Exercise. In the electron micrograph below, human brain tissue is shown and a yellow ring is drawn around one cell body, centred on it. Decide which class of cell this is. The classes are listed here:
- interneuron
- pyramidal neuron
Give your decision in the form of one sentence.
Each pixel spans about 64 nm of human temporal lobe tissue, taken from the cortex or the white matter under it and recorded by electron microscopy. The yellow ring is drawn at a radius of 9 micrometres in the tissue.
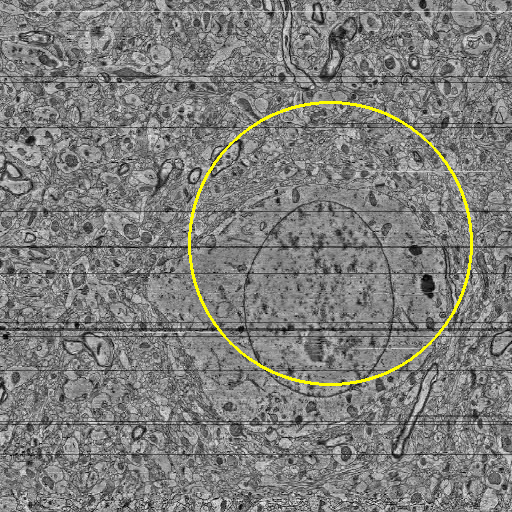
The cell body marked by the ring belongs to a pyramidal neuron.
